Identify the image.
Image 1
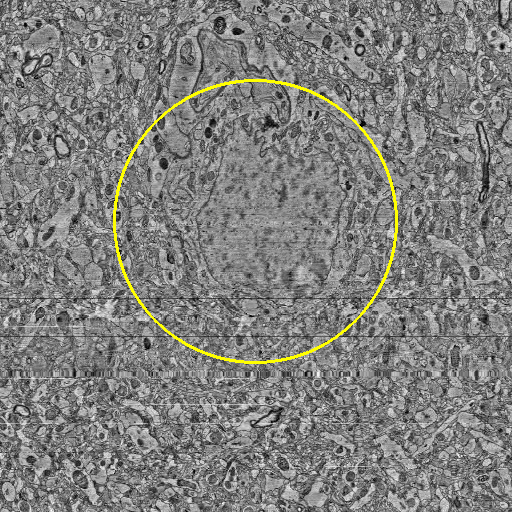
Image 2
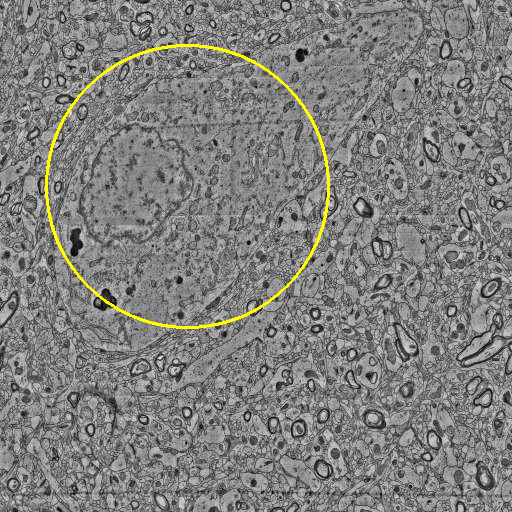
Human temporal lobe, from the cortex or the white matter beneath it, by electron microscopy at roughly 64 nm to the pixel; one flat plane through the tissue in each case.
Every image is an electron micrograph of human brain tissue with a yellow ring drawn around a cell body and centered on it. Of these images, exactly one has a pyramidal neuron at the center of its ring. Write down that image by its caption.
Image 2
